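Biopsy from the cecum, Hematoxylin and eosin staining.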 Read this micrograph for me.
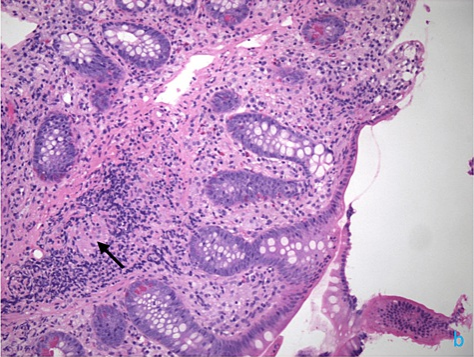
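This is large-bowel mucosa with round and tubular crypts cut in cross and oblique section, lined by columnar cells rich in clear goblet cells. The stroma between the crypts is widened and cellular, with clusters of larger cells with pale, bubbly cytoplasm beside denser patches of small dark-nucleated inflammatory cells. A strip of surface epithelium runs along the edge of the fragment.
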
